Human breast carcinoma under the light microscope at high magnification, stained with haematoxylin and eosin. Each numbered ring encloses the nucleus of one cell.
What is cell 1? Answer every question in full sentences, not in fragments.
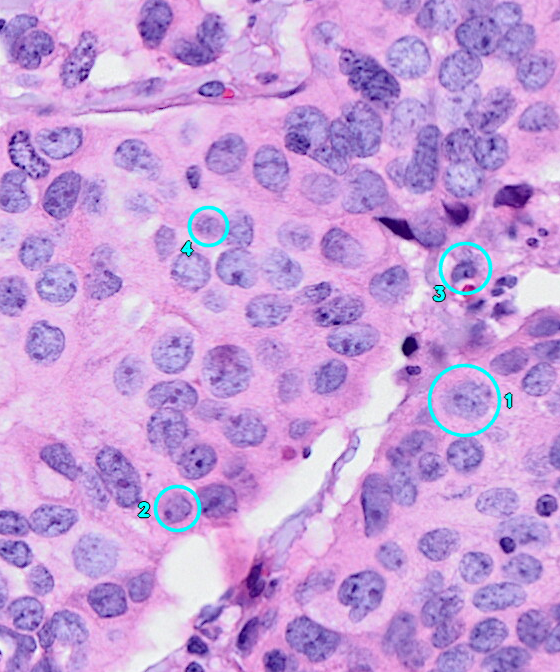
The one labeled 1 is a carcinoma cell, to put it simply.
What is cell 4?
Cell 4, among those numbered, is a carcinoma cell.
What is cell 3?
The cell with the number 3 is an endothelial cell.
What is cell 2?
Among the marked nuclei, number 2 belongs to a carcinoma cell.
